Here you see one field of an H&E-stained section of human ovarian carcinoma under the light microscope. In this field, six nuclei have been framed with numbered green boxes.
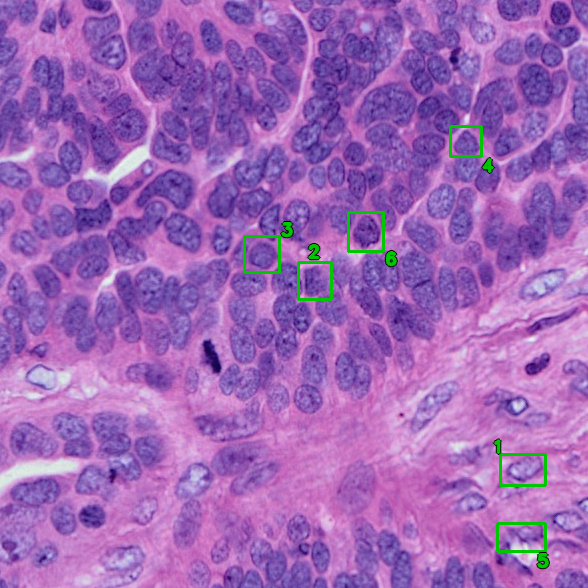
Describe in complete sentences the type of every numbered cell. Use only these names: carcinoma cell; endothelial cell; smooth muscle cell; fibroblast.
Cell 1 is a fibroblast, cell 2 is a carcinoma cell, cell 3 is a carcinoma cell, cell 4 is a carcinoma cell, cell 5 is a fibroblast and cell 6 is a carcinoma cell.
